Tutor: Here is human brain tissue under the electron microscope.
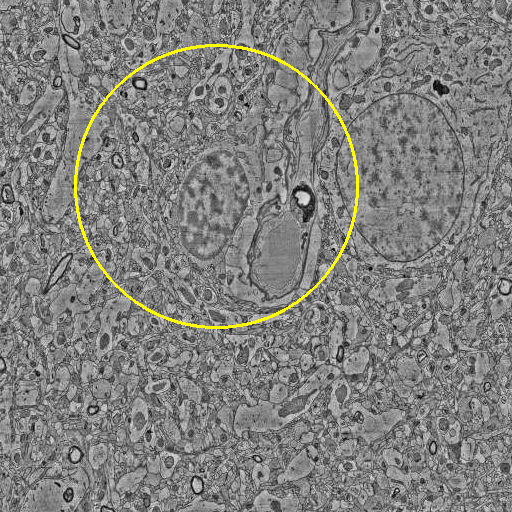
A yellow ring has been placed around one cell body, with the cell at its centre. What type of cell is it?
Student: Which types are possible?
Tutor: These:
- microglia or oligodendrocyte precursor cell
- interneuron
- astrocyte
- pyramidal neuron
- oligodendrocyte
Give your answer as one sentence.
What the ring picks out here is an oligodendrocyte.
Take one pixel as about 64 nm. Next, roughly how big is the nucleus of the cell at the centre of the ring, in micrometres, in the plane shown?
At approximately 7 by 4 micrometres, the nucleus is clearly longer than it is wide in this plane.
